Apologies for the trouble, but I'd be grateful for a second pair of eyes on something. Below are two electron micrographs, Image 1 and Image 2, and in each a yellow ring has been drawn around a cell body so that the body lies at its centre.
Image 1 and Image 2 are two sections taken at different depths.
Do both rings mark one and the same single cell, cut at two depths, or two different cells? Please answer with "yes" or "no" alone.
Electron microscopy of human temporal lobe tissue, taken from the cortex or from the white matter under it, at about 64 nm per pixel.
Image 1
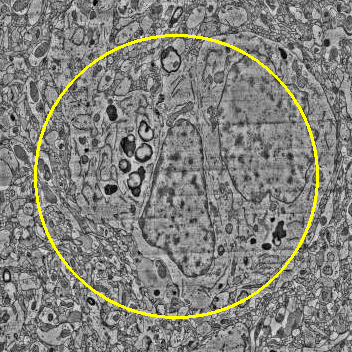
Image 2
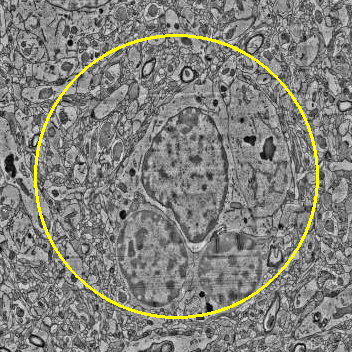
yes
